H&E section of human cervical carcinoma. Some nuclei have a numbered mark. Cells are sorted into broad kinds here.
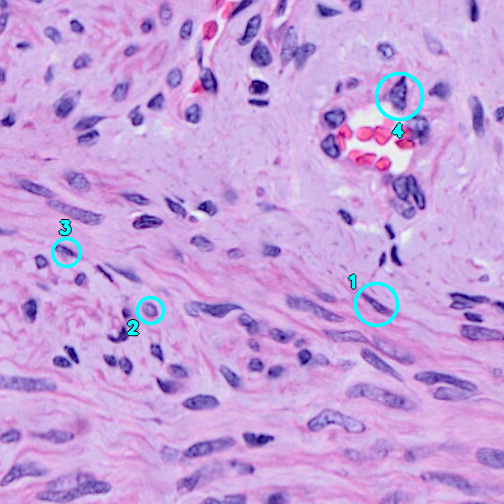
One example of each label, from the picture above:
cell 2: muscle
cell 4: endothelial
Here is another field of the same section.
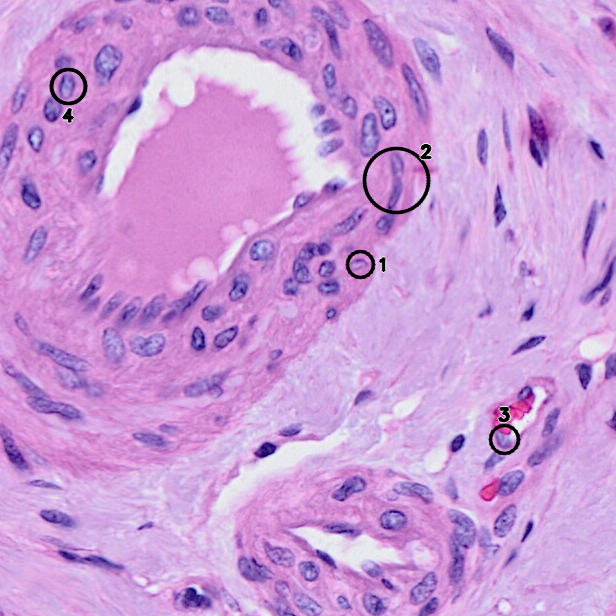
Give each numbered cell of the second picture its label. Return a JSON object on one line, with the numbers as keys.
{"1": "muscle", "2": "muscle", "3": "endothelial", "4": "muscle"}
